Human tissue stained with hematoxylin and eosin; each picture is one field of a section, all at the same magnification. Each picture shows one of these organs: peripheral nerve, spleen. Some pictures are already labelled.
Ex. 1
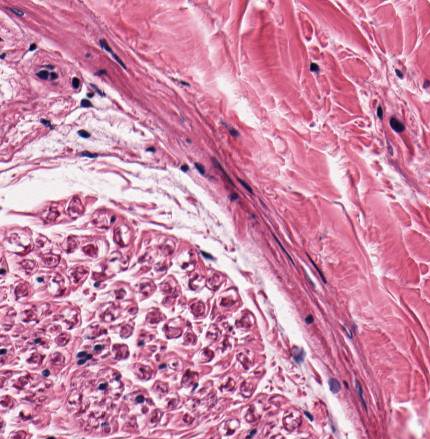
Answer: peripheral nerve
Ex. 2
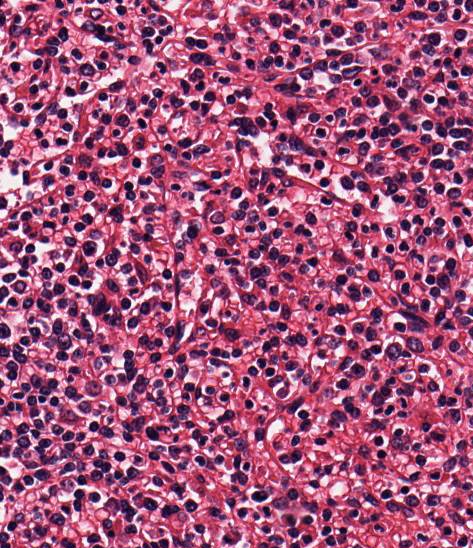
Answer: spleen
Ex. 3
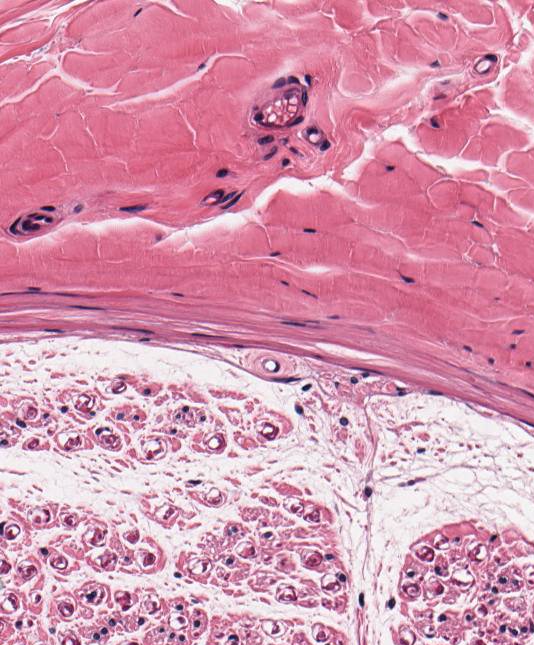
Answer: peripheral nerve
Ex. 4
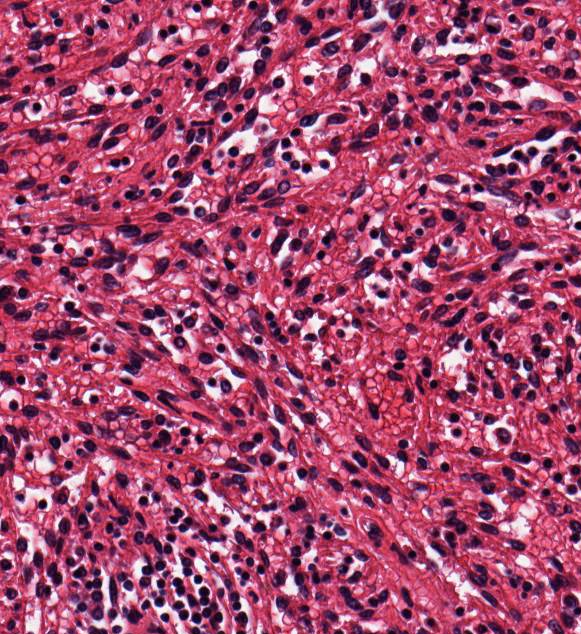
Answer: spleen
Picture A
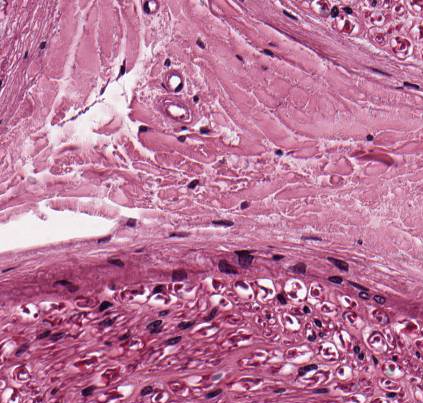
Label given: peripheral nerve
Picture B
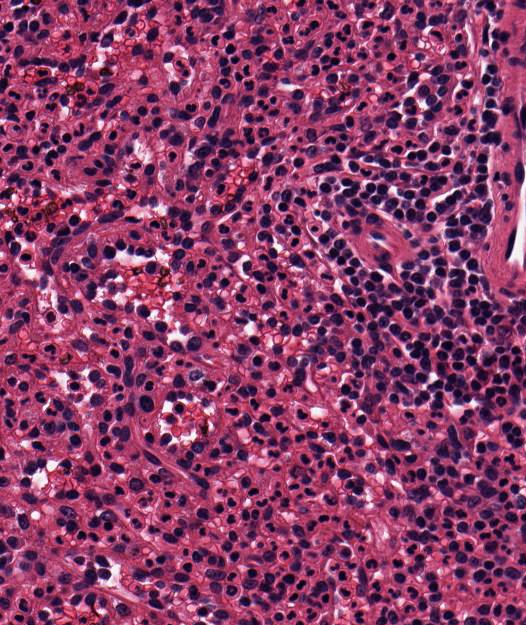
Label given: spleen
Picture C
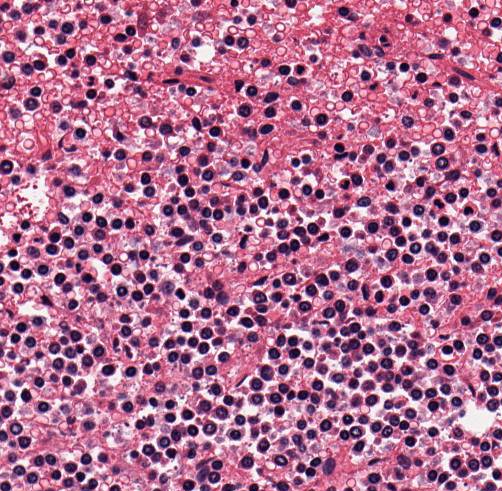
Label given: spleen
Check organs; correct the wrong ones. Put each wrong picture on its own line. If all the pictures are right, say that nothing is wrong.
Nothing to fix; every label fits.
